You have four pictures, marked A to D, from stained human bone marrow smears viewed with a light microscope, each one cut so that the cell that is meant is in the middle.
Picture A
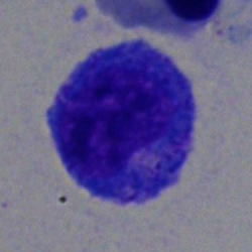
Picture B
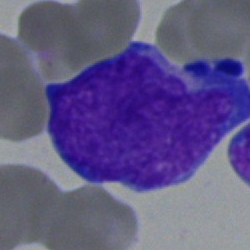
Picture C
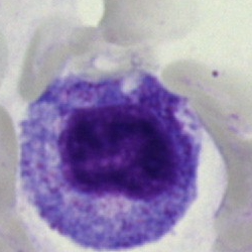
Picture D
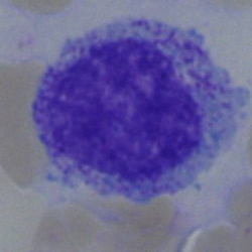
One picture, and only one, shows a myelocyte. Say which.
D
